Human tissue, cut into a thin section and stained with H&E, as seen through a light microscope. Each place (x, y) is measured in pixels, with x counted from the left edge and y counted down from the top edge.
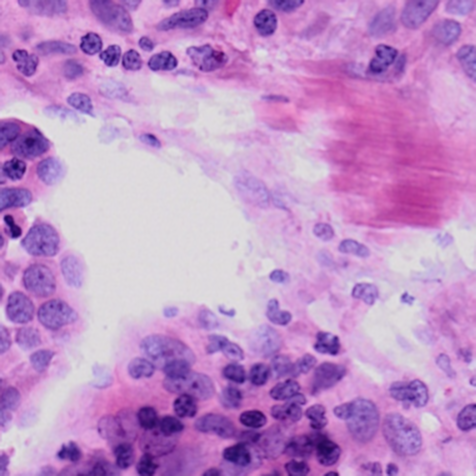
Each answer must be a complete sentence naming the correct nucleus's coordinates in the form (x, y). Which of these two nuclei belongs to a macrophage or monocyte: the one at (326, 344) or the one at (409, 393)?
The nucleus whose position is (409, 393) belongs to a macrophage or monocyte.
